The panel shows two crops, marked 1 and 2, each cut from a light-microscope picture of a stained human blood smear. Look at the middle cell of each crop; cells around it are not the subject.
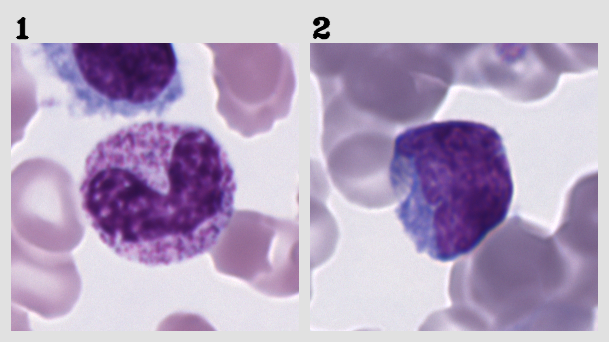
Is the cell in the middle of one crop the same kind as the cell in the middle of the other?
no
